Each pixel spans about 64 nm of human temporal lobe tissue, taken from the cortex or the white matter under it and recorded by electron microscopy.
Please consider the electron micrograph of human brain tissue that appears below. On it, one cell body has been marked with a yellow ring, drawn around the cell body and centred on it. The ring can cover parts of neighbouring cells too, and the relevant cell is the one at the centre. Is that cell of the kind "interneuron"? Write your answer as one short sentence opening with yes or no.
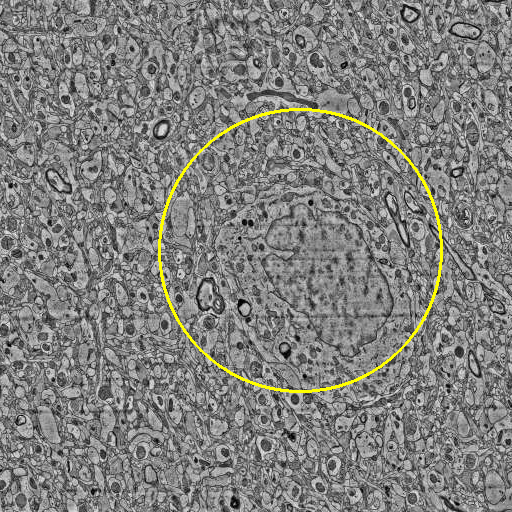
Yes, it is of that kind.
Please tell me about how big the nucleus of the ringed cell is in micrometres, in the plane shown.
About 10 by 7 micrometers, in this plane.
